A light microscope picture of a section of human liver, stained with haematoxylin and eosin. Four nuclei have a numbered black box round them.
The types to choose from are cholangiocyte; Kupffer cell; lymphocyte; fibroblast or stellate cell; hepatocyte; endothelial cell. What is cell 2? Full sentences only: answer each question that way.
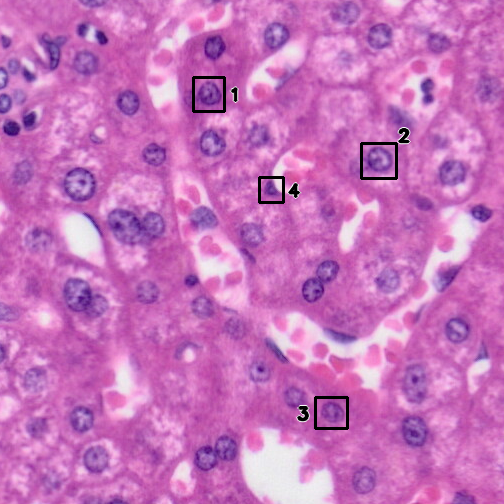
In the tissue shown, cell 2 is a hepatocyte.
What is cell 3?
The identity of cell 3 is that of a hepatocyte.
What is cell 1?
The cell indicated with the number 1 is classed as a hepatocyte.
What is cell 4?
The cell that is numbered 4 is a fibroblast or stellate cell.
